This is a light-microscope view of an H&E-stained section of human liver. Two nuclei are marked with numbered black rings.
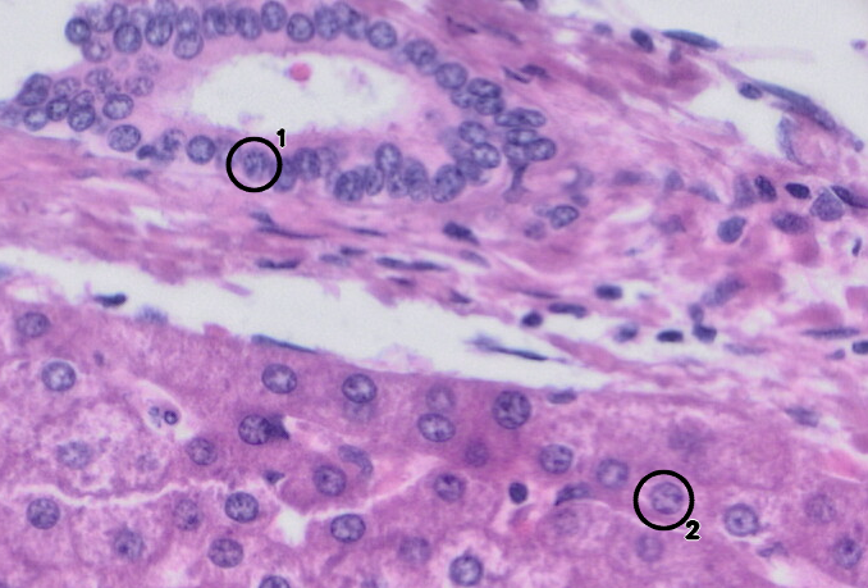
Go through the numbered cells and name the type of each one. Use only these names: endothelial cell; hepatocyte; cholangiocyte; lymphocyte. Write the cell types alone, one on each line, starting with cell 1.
cholangiocyte
hepatocyte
